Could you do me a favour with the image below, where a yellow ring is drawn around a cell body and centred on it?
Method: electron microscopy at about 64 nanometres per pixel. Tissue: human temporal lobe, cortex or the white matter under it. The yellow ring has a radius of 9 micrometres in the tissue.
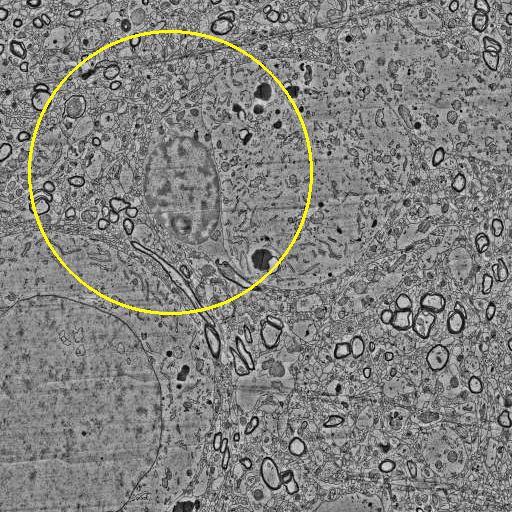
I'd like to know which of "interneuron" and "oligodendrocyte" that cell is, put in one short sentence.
The cell at the ring's centre is an oligodendrocyte.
